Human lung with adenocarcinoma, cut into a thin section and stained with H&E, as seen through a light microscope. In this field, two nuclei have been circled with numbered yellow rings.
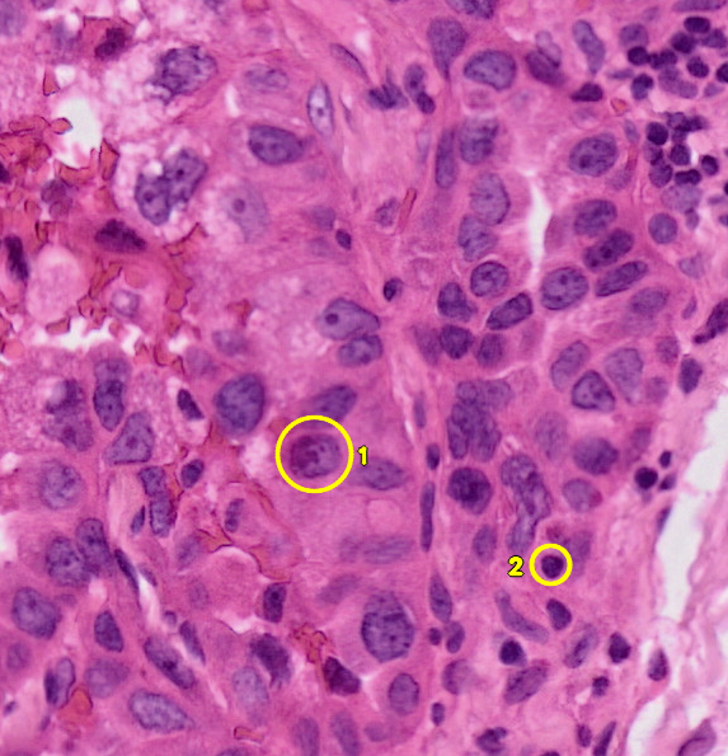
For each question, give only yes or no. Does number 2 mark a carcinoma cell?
no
